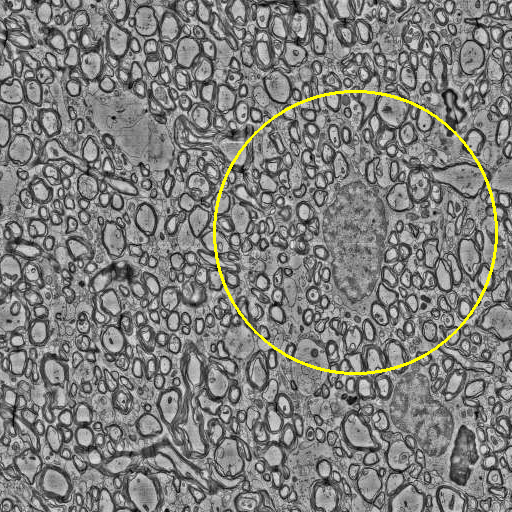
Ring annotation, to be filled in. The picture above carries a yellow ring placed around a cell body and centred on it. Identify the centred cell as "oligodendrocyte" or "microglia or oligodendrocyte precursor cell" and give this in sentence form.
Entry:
The cell in the middle of the ring is an oligodendrocyte.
